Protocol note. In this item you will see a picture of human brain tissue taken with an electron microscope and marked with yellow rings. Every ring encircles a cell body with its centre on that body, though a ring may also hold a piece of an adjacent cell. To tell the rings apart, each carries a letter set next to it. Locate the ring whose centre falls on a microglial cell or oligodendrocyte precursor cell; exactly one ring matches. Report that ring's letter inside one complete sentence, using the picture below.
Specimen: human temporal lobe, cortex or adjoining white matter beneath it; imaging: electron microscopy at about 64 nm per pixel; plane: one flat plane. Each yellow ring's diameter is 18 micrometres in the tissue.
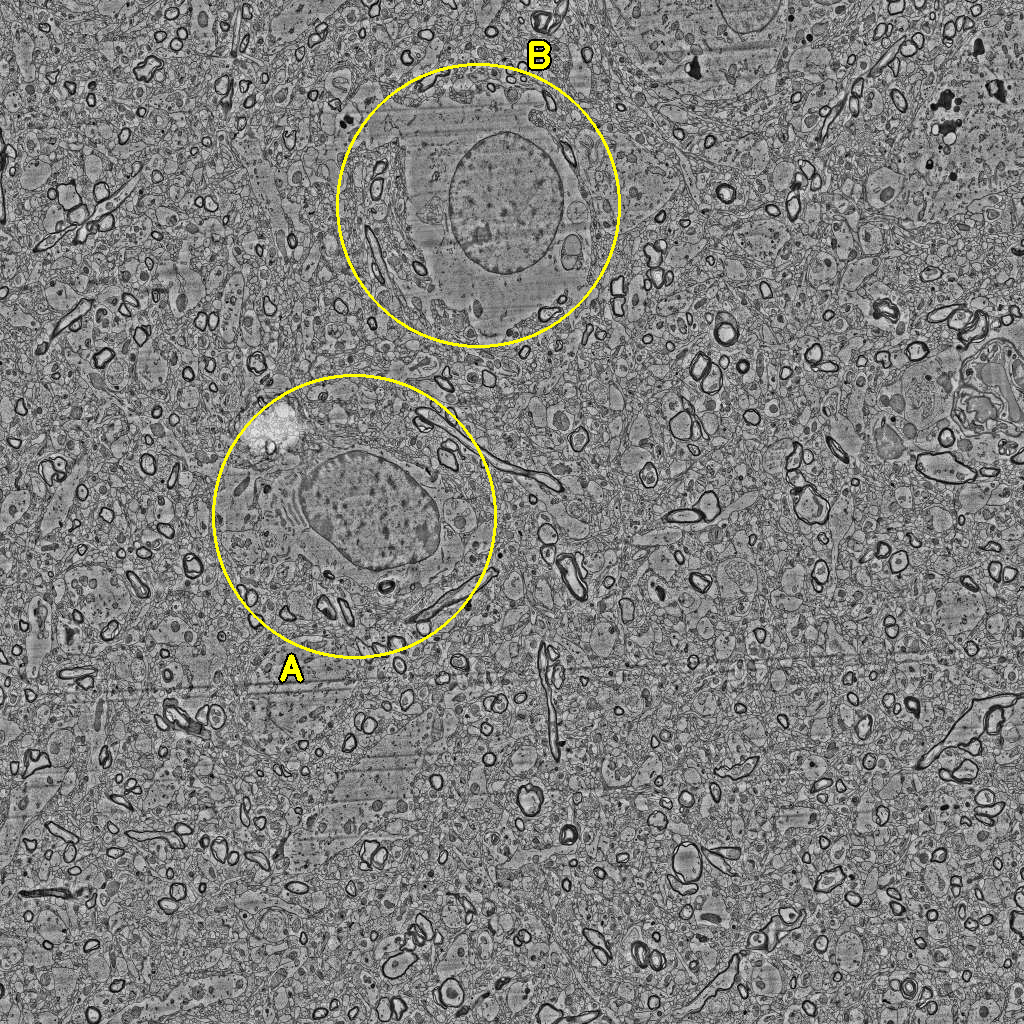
My answer is A, the ring whose centre falls on that kind of cell.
